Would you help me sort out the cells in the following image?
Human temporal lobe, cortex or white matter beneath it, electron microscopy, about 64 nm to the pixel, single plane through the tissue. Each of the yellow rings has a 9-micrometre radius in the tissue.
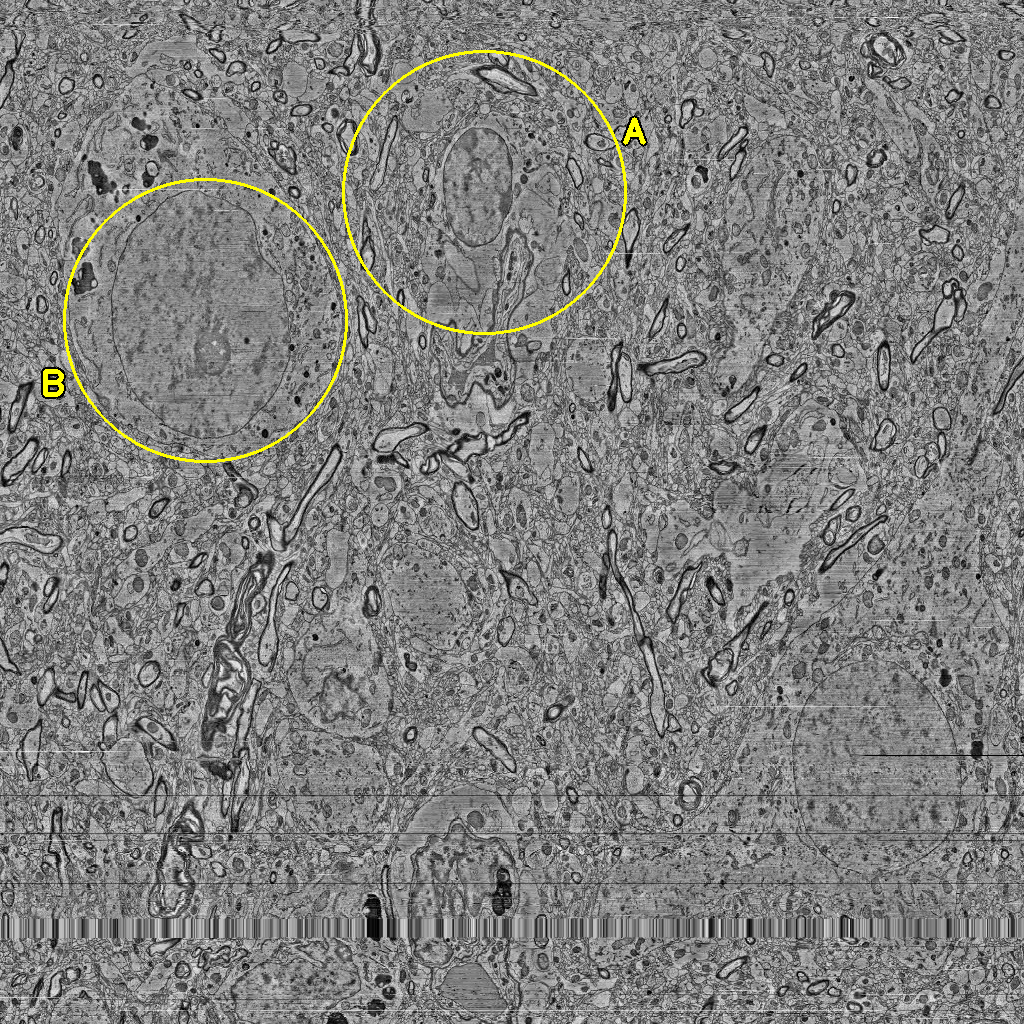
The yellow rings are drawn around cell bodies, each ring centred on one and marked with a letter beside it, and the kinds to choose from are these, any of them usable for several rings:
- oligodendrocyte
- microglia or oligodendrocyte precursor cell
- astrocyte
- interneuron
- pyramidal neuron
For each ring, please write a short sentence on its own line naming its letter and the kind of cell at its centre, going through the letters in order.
Ring A is centred on the cell body of a microglial cell or oligodendrocyte precursor cell.
Ring B is centred on the cell body of a pyramidal neuron.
